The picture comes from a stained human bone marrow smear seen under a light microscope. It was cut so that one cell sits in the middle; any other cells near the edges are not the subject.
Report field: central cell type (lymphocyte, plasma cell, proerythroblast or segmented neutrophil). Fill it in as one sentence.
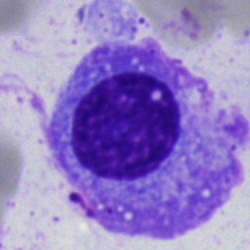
By type, the central cell of the crop is a plasma cell.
